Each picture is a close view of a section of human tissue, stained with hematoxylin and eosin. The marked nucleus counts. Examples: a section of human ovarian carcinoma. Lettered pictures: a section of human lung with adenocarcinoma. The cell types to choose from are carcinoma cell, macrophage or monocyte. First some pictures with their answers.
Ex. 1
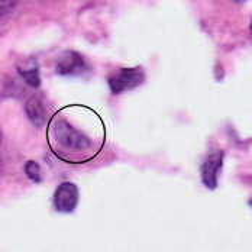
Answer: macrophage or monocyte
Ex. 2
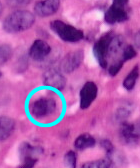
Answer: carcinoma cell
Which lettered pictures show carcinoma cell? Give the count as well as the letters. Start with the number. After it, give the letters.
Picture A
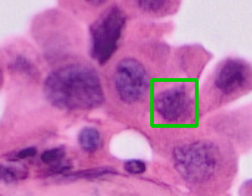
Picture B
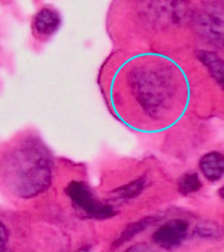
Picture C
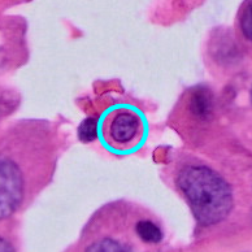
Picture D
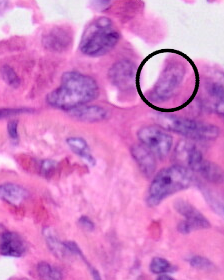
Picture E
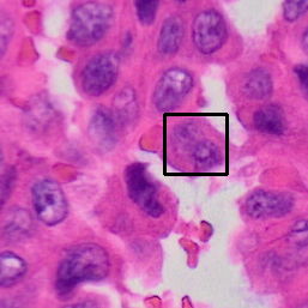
4, namely A, B, D, E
